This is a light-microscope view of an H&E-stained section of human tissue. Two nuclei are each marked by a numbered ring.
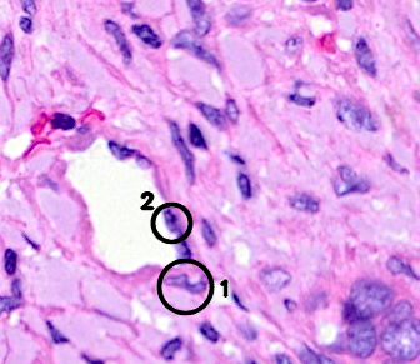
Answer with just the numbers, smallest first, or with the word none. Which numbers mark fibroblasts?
1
